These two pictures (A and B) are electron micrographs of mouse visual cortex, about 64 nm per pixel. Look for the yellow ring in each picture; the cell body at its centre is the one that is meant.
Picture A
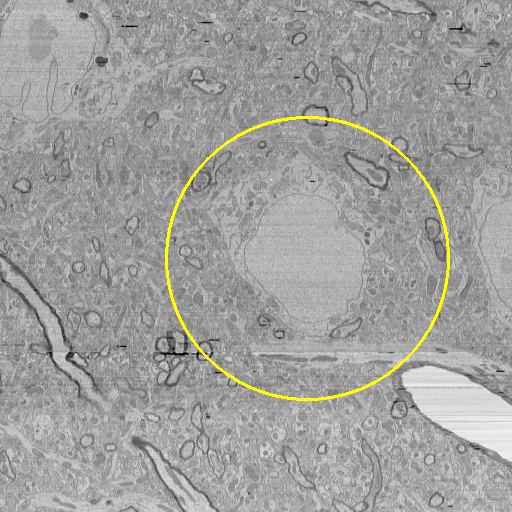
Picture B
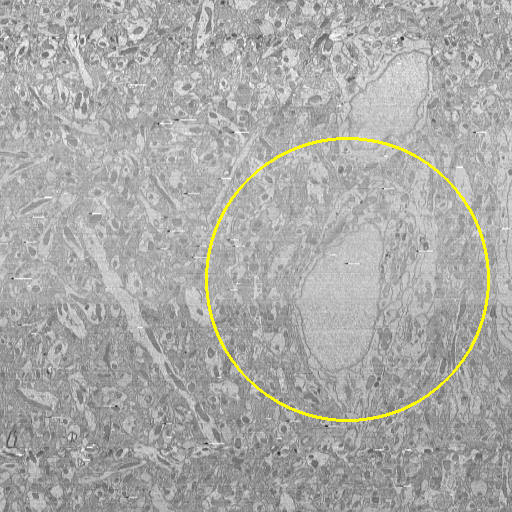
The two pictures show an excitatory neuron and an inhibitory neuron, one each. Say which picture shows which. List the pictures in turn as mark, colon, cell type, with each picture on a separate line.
A: excitatory neuron
B: inhibitory neuron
